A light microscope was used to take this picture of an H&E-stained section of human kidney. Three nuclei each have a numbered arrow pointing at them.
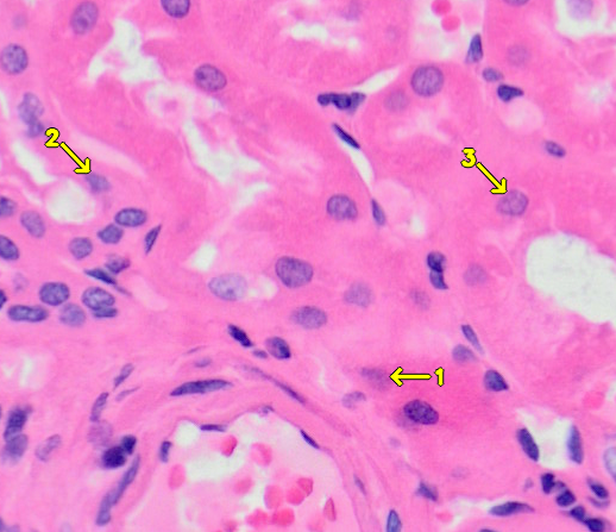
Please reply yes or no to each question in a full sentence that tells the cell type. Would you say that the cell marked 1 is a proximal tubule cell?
Yes, the cell that number 1 points to is a proximal tubule cell.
